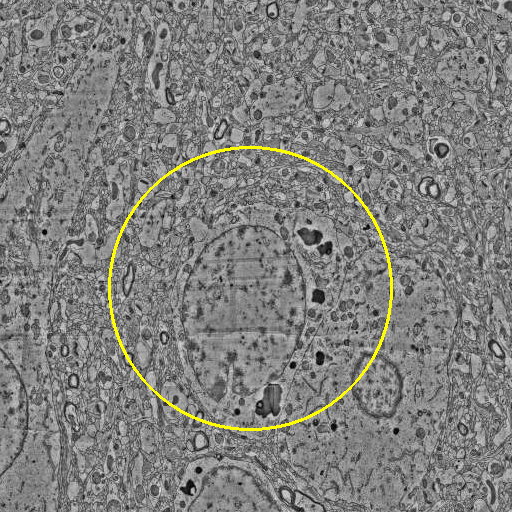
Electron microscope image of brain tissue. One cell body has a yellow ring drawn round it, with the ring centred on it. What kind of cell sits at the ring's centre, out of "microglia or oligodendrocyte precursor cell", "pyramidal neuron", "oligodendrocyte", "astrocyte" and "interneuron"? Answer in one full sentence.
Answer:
It is an interneuron whose cell body sits at the centre of the yellow ring.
